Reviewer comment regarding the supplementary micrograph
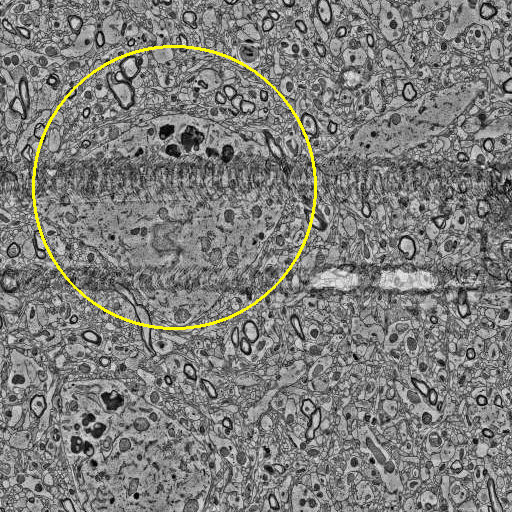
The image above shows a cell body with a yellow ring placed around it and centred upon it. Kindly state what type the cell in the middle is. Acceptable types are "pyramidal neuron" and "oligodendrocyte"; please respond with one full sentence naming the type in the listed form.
In the image above, the cell on which the yellow ring is centred is a pyramidal neuron.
